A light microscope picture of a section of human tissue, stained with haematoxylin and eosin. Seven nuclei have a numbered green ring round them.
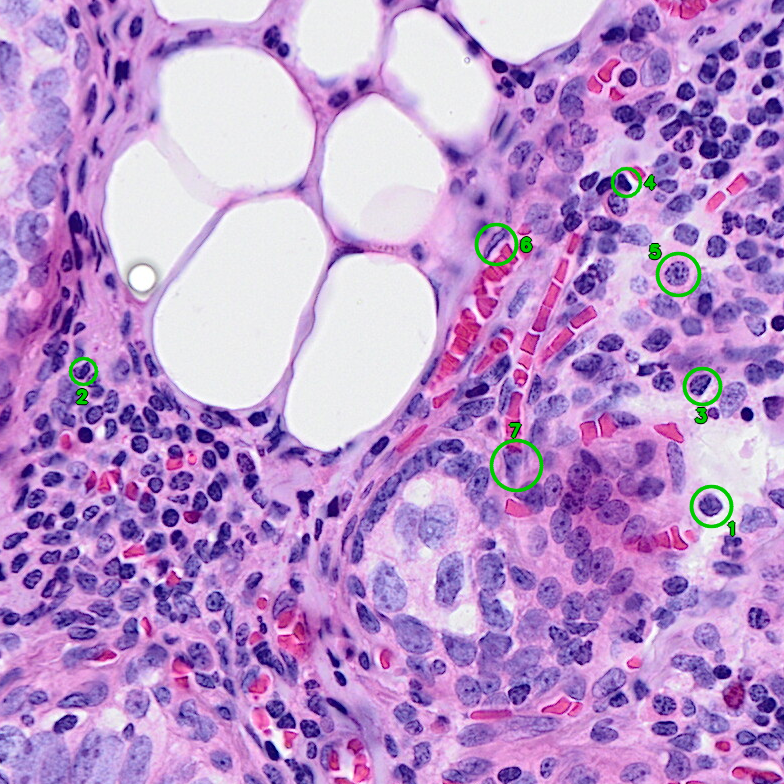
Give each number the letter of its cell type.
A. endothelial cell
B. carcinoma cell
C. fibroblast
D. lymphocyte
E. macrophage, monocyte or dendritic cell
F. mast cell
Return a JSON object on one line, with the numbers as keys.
{"1": "D", "2": "D", "3": "D", "4": "D", "5": "F", "6": "A", "7": "A"}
